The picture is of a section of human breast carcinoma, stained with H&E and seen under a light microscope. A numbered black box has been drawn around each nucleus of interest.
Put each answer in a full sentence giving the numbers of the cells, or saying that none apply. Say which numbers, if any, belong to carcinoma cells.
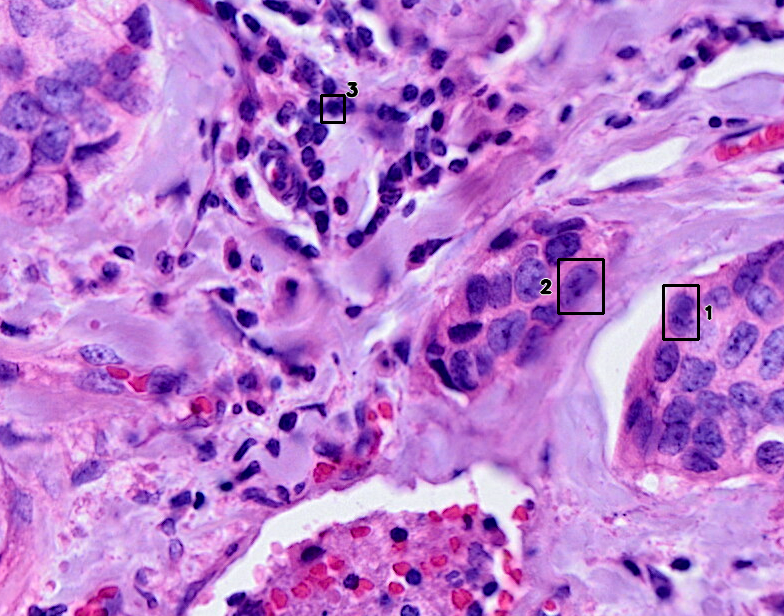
In this section, the cells labelled 1 and 2 are carcinoma cells.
